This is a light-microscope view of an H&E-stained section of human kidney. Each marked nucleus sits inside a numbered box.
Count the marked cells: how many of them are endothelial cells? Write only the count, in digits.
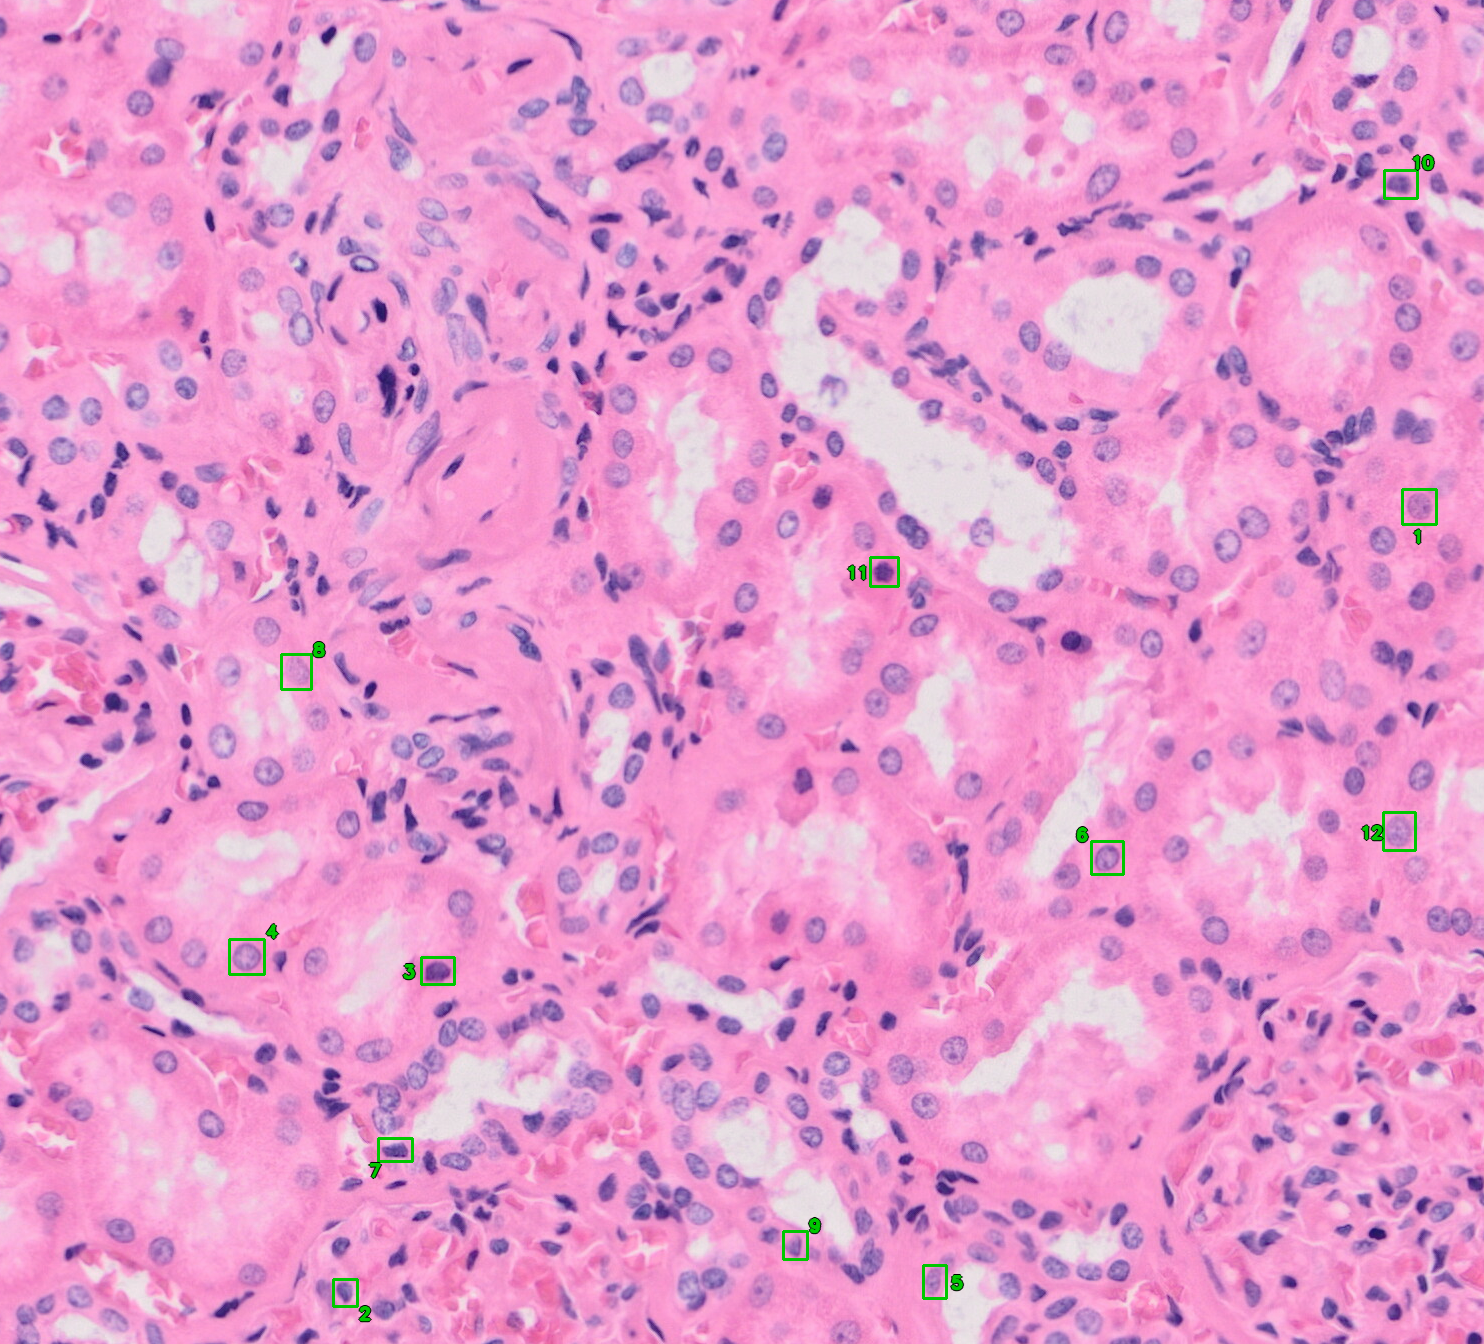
1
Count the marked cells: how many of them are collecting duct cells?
4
